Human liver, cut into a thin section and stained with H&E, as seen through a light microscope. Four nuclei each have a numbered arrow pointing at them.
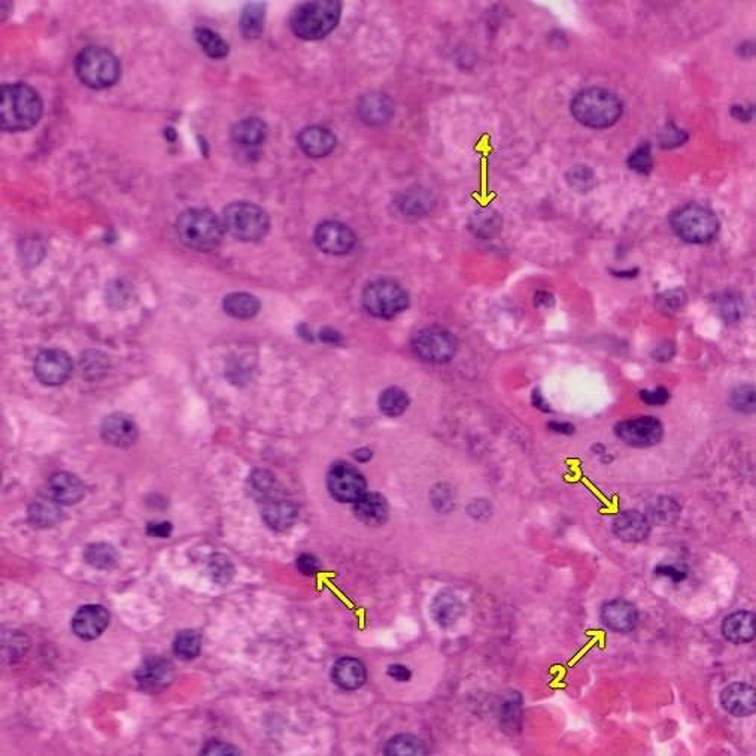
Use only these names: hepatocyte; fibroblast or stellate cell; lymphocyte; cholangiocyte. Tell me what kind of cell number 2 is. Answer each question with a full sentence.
In this section, the cell tagged 2 is a hepatocyte.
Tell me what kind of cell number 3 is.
Heads up, the cell numbered 3 is a hepatocyte.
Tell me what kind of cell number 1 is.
Identified by the number 1, the cell is a lymphocyte.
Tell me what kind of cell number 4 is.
Of the numbered cells, the one labelled 4 is a hepatocyte.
